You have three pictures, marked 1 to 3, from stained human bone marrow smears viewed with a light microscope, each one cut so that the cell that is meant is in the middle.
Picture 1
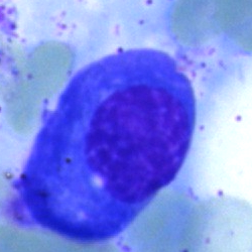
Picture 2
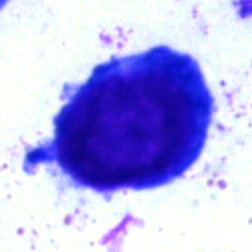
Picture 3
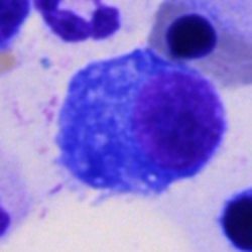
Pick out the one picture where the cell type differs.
2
